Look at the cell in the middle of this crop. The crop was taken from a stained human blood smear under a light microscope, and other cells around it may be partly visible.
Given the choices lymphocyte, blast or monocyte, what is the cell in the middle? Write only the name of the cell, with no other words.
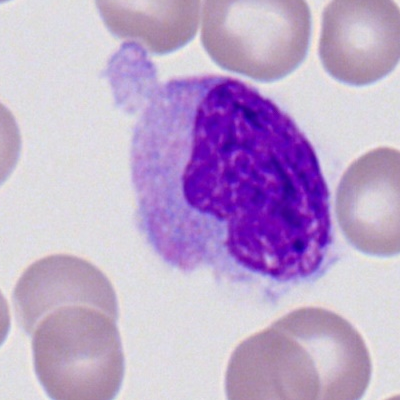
monocyte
